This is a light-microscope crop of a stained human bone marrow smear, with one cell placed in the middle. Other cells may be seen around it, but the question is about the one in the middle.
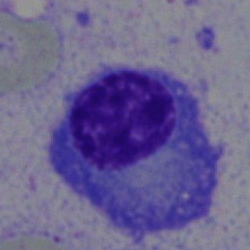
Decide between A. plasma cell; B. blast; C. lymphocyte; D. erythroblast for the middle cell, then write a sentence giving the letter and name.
The cell centred in the crop is a plasma cell, and the correct option is thus A.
